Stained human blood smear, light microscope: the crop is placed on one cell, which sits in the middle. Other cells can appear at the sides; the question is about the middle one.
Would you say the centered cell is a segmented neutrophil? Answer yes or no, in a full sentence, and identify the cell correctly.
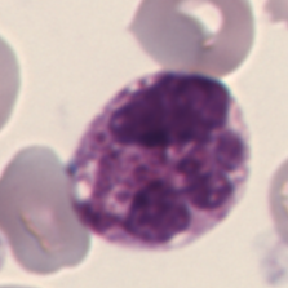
No, the cell in the middle of the crop counts as a basophil and not as a segmented neutrophil.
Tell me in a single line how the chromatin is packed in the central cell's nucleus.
Chromatin in the nucleus here is coarsely clumped.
